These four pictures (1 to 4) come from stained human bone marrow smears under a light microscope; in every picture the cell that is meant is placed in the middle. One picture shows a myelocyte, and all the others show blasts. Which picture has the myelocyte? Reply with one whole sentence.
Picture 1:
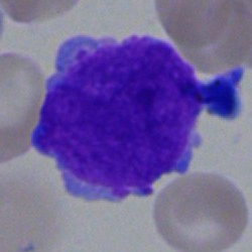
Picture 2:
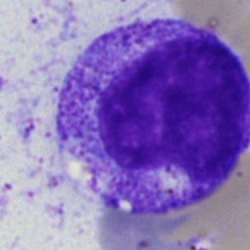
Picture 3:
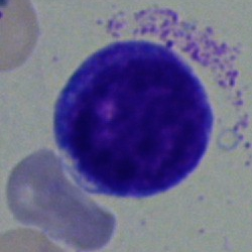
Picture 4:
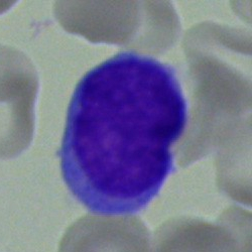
It is picture 2 that shows the myelocyte.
